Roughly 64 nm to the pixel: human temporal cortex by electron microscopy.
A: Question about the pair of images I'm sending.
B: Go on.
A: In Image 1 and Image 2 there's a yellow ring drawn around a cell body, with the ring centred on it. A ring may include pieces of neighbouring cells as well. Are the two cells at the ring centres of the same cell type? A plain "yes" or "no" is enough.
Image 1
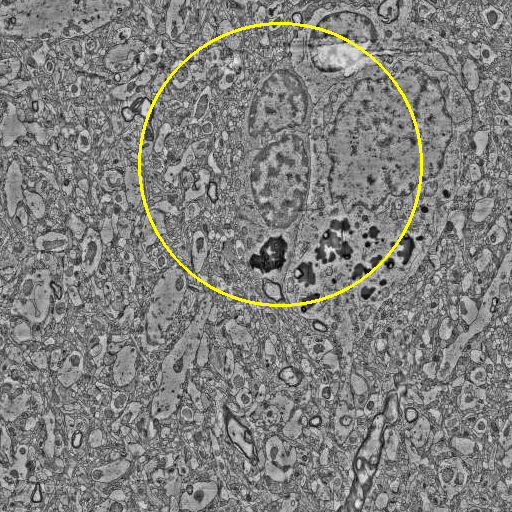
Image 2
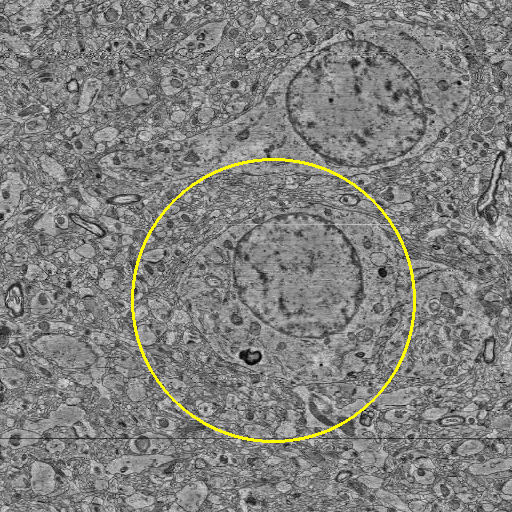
no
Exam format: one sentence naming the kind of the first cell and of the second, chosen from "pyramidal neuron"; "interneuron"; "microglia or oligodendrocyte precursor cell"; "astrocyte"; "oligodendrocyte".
The first picture's cell is an oligodendrocyte, and the second picture's cell is a pyramidal neuron.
